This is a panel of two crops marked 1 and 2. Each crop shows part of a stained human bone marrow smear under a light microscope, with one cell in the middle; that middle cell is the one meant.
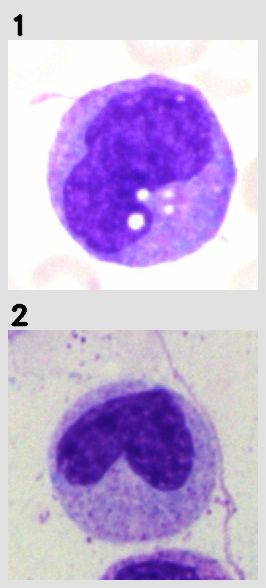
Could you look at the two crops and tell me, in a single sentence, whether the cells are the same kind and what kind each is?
No, it is a monocyte that crop 1 shows, and a band neutrophil that crop 2 shows.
